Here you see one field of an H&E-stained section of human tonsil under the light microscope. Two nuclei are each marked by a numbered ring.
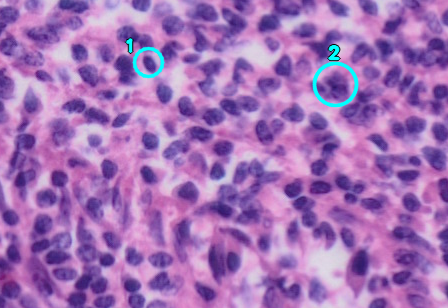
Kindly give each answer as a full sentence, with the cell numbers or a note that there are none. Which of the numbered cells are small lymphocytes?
Cell number 1 alone is a small lymphocyte; the rest are not.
